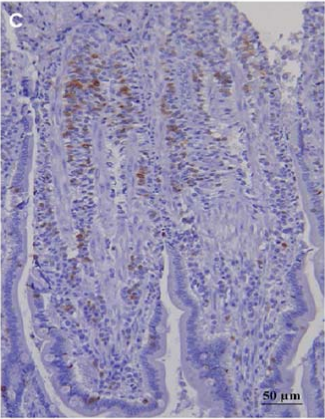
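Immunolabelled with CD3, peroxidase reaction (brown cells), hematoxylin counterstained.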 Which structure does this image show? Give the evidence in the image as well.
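Elongated projections lined on both sides by a single layer of tall columnar cells. A cellular core fills each projection, with brown-stained cells concentrated toward the top. On this evidence: villi.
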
